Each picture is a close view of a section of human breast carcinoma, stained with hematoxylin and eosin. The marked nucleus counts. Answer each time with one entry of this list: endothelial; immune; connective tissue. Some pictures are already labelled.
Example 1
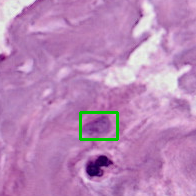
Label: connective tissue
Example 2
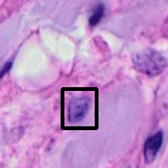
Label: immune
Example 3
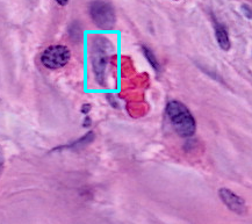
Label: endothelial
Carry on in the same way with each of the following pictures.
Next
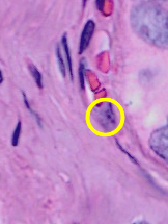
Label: endothelial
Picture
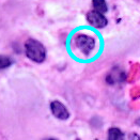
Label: immune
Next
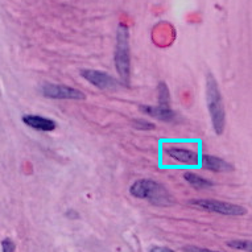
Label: endothelial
